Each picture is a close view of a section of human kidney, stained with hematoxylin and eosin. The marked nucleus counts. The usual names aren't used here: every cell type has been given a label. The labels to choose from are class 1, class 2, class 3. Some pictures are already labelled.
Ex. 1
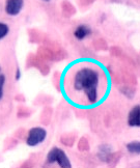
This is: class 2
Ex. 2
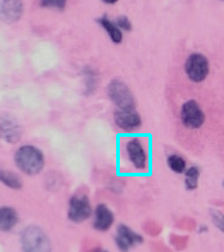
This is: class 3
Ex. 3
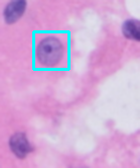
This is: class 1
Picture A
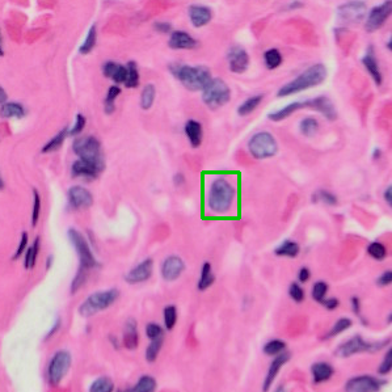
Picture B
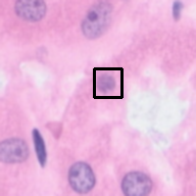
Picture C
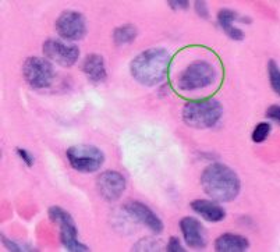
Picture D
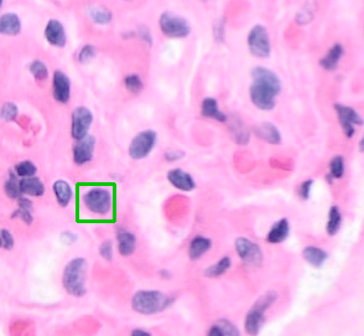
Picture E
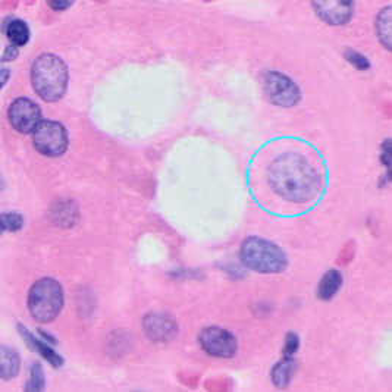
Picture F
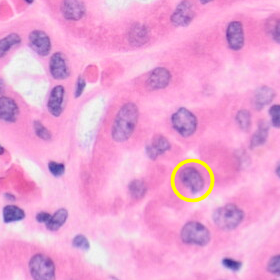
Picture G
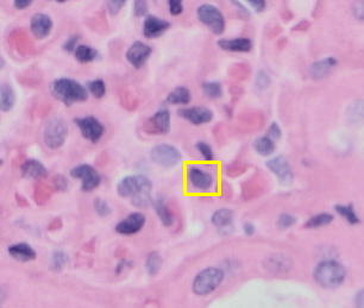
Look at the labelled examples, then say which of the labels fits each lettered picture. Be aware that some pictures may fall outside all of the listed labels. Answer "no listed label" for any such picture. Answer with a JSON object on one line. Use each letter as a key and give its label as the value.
{"A": "class 2", "B": "class 1", "C": "no listed label", "D": "class 2", "E": "class 1", "F": "class 1", "G": "class 2"}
